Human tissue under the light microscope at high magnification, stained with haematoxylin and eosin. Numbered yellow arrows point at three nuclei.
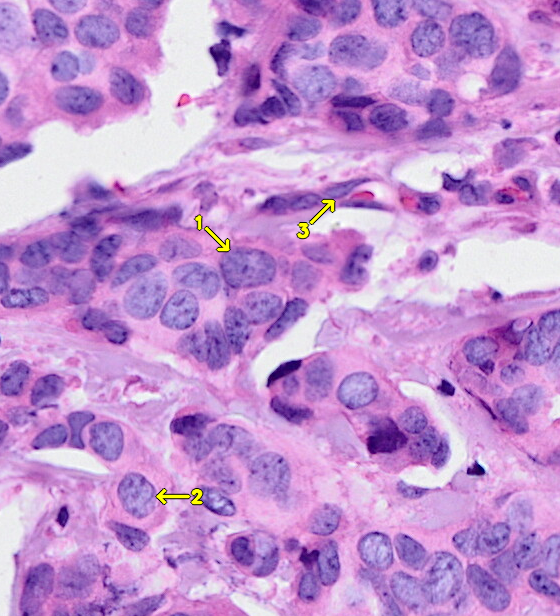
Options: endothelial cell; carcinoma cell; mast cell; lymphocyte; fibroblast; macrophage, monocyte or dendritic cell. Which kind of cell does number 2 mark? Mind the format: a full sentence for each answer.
Here the cell numbered 2 is a carcinoma cell.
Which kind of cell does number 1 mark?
The nucleus labelled 1 belongs to a carcinoma cell.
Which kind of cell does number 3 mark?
Denoted by the label 3 in the section is an endothelial cell.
